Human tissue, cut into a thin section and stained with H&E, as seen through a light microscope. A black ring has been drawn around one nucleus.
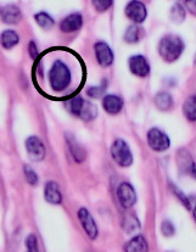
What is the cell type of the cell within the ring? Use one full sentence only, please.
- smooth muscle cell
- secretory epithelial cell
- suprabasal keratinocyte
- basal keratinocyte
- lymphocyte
So far as cell type goes, the cell within the ring is a lymphocyte.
